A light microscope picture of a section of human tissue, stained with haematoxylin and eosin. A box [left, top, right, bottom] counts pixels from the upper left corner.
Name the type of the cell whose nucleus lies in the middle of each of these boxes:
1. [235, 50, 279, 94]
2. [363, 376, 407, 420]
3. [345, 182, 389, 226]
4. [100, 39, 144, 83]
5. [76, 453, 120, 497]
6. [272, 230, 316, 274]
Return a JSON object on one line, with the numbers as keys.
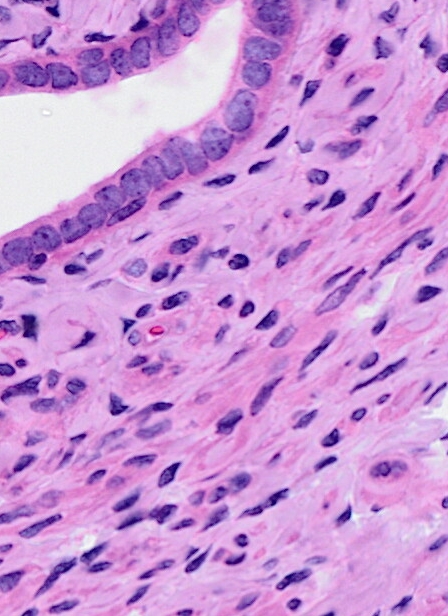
{"1": "carcinoma cell", "2": "smooth muscle cell", "3": "smooth muscle cell", "4": "carcinoma cell", "5": "smooth muscle cell", "6": "smooth muscle cell"}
